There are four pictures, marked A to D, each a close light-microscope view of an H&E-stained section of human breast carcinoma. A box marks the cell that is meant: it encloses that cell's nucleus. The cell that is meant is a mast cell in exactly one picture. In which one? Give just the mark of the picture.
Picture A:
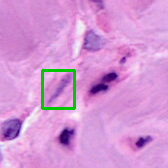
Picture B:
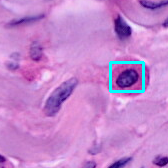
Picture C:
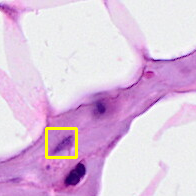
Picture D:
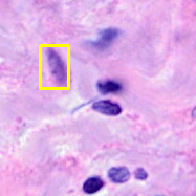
B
